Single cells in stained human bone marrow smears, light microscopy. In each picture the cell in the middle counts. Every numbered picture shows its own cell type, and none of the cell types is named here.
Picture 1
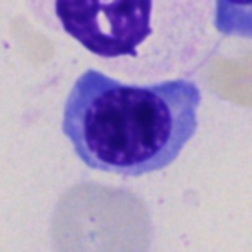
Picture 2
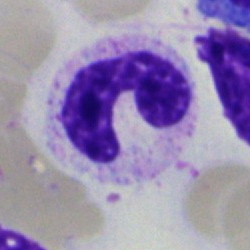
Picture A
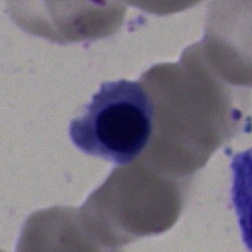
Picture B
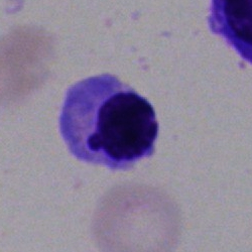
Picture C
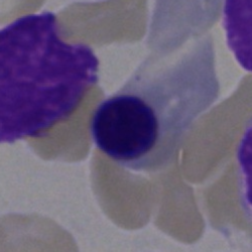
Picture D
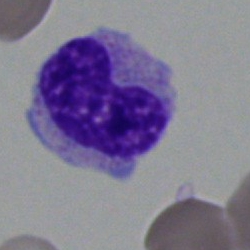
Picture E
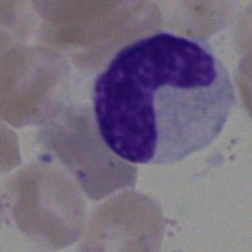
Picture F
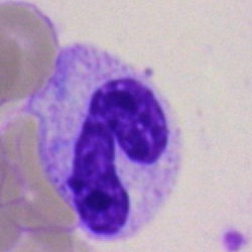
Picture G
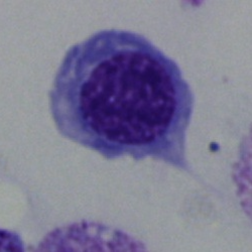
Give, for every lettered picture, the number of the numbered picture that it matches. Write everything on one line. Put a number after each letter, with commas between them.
A 1, B 1, C 1, D 2, E 2, F 2, G 1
